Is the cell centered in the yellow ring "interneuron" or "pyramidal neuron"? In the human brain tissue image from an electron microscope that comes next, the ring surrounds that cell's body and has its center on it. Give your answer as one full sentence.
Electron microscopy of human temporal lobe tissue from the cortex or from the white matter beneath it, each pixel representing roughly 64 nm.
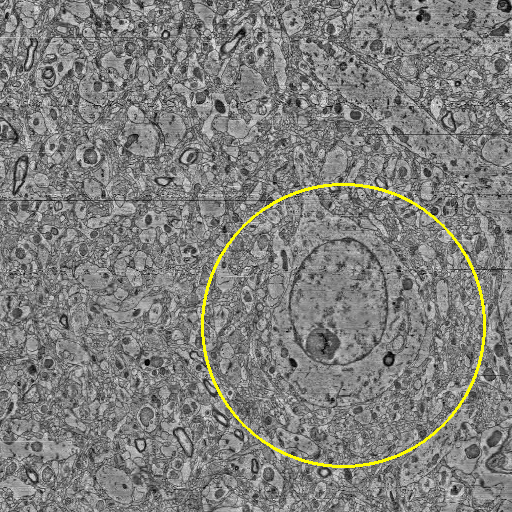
The cell at the center of the yellow ring is a pyramidal neuron in the micrograph.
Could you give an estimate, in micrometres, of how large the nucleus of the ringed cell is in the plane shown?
In this plane the nucleus measures roughly 8 by 6 micrometres.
